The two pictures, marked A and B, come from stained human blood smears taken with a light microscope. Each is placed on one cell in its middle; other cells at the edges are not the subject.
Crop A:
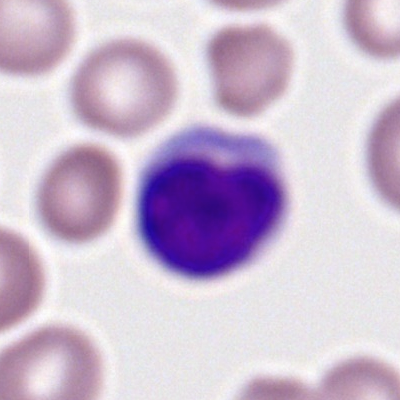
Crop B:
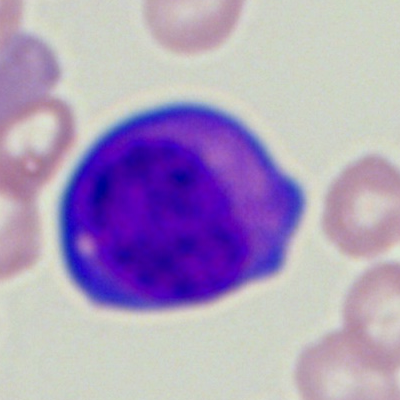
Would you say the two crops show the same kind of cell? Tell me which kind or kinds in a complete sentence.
No, in crop A there is a lymphocyte, and in crop B there is a myeloblast.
